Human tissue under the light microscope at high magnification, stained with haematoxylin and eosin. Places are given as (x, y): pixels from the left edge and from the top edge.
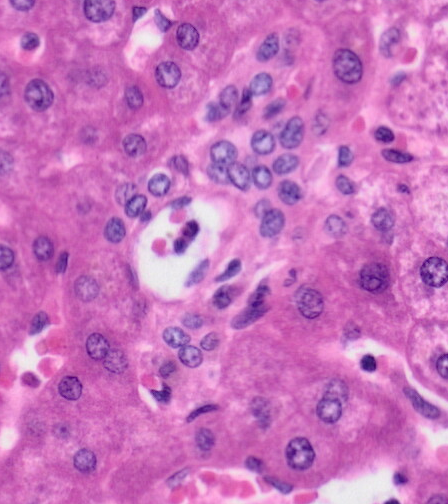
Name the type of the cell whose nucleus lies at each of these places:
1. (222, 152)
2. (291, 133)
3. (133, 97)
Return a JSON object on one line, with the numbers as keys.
{"1": "cholangiocyte", "2": "cholangiocyte", "3": "hepatocyte"}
